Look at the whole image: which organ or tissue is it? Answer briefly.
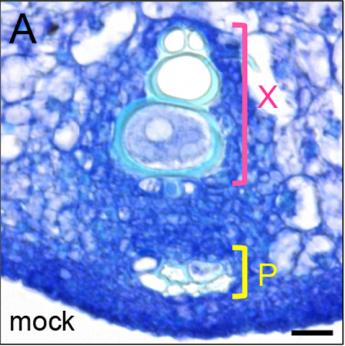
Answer: Central large vascular bundle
